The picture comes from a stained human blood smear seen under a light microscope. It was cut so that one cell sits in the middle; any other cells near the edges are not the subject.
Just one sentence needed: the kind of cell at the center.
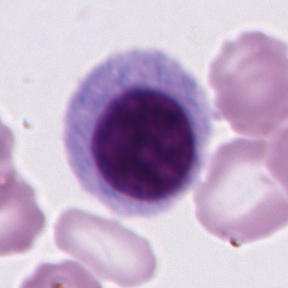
This crop is built around a hairy cell at its centre.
